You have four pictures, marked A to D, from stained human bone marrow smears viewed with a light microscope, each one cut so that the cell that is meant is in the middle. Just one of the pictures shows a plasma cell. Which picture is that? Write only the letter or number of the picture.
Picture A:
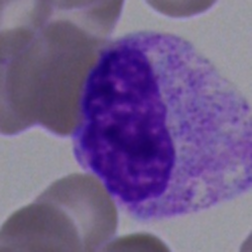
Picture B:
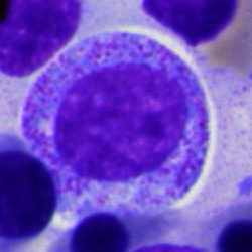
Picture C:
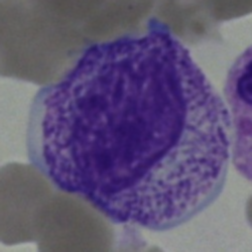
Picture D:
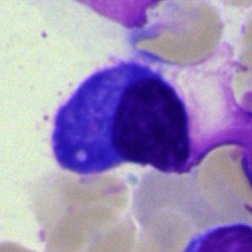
D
